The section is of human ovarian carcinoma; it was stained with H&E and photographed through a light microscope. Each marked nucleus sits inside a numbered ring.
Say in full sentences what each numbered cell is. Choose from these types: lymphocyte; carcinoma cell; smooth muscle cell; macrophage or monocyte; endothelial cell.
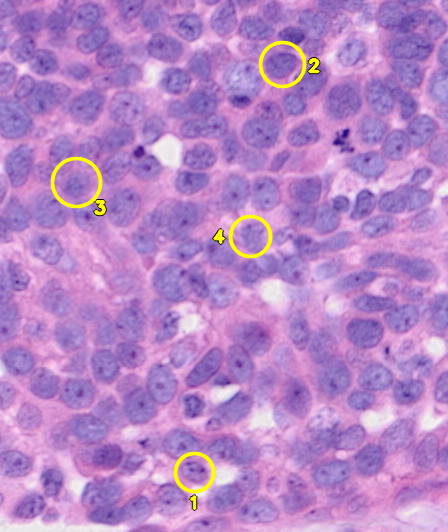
Cell 1 is a macrophage or monocyte, cell 2 is a carcinoma cell, cell 3 is a carcinoma cell and cell 4 is a carcinoma cell.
